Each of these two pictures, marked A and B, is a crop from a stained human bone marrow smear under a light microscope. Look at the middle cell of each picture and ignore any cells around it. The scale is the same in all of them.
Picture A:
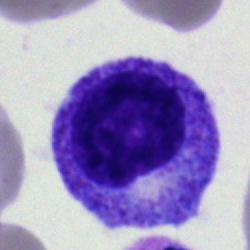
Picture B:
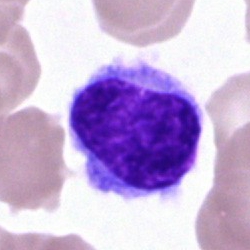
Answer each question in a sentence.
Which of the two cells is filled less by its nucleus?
It is the cell in picture A that is filled less by its nucleus.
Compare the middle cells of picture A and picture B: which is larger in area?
Larger is the cell in picture A, at roughly 1.5 times the area of the other.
